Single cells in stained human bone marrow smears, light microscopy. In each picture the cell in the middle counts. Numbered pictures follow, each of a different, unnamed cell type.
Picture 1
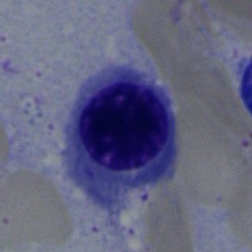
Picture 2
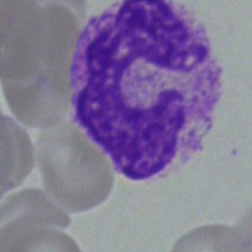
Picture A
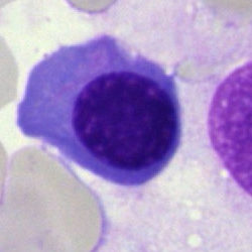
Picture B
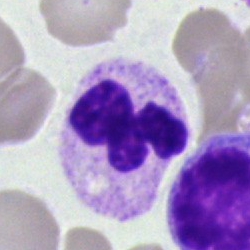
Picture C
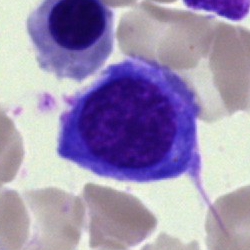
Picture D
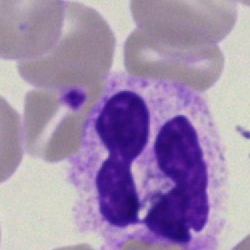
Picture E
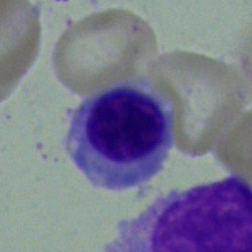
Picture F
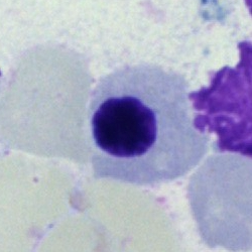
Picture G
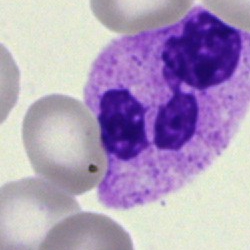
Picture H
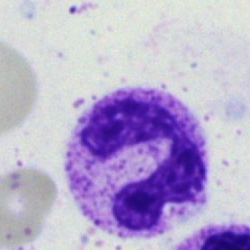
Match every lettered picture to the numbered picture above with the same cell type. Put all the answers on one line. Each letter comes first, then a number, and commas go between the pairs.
A 1, B 2, C 1, D 2, E 1, F 1, G 2, H 2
